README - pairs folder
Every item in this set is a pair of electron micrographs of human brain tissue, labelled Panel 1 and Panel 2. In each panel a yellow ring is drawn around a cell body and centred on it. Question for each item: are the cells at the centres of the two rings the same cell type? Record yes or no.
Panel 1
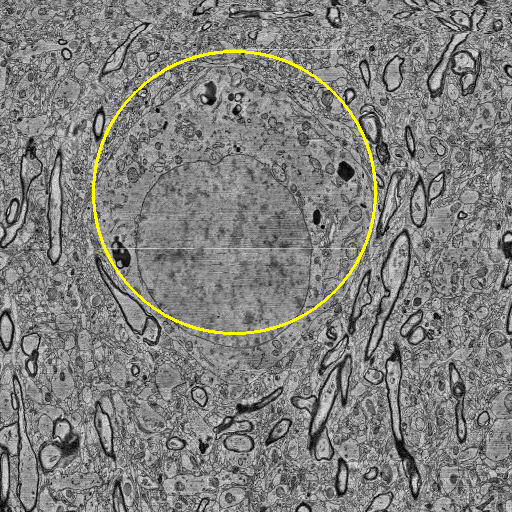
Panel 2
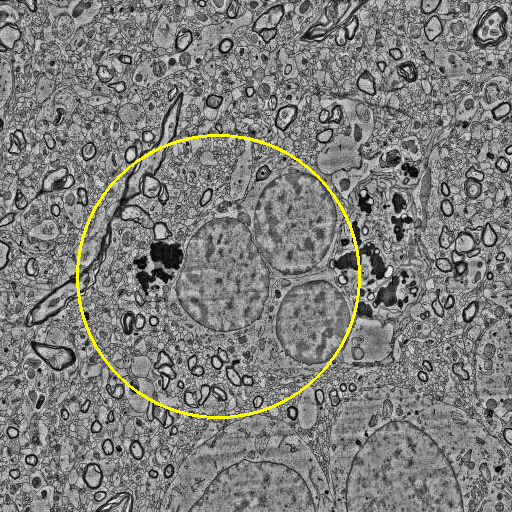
no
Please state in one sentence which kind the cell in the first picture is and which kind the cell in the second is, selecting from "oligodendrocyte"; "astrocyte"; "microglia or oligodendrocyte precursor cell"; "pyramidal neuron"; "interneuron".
The first ringed cell is a pyramidal neuron, the second ringed cell an oligodendrocyte.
